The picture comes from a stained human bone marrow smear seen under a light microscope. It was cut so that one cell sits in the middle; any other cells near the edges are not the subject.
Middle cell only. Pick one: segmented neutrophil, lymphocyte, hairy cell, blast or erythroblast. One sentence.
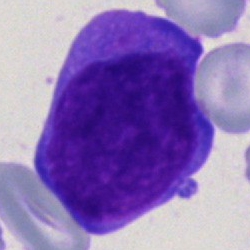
The cell in the exact centre of the crop is a blast.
